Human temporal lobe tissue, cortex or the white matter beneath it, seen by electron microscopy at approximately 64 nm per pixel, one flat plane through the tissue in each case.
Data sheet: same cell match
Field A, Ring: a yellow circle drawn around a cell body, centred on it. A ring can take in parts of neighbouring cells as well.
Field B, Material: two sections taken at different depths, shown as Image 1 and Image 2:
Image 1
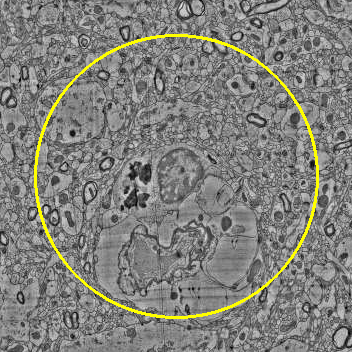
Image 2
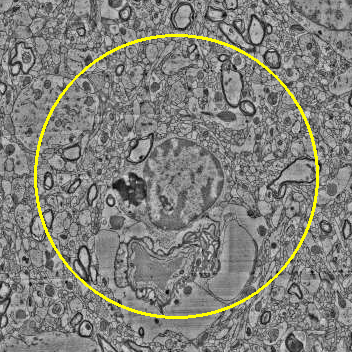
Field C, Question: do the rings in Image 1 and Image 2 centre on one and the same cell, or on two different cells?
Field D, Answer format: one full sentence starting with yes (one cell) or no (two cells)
Yes, the rings do not mark different cells but one cell.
